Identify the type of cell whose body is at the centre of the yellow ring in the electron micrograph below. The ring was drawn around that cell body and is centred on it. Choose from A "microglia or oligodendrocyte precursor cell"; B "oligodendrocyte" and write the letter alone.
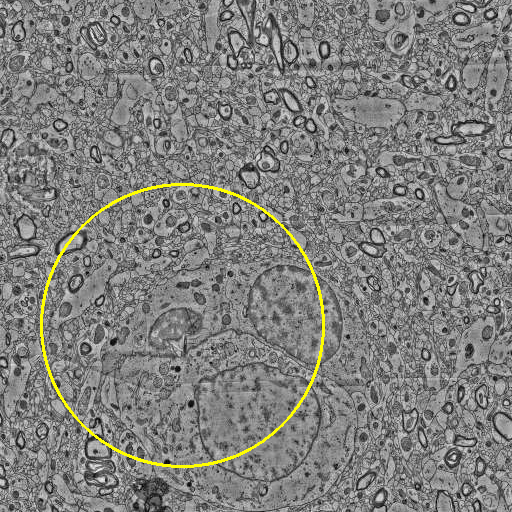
B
